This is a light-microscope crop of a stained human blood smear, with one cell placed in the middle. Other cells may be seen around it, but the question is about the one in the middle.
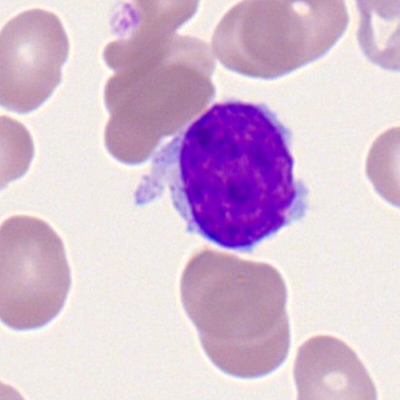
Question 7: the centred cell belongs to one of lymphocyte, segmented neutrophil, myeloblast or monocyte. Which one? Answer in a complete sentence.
Classification of the middle cell gives a lymphocyte.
